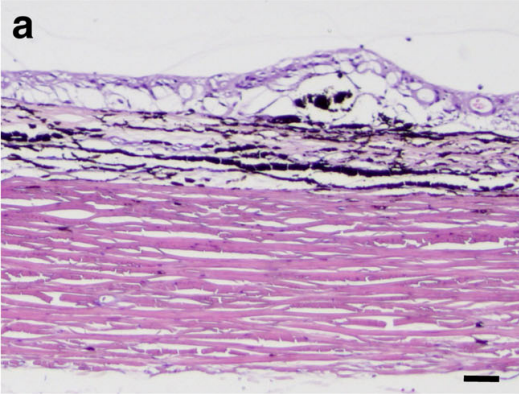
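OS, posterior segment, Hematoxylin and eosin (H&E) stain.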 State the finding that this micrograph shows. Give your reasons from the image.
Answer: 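The retina is a thin, pale, vacuolated band with no distinct rows of nuclei. The retina is far thinner than the underlying pink scleral collagen.
Conclusion: full thickness retinal atrophy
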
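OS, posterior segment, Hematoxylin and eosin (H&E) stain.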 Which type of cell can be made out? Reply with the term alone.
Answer: Pigmented cells.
